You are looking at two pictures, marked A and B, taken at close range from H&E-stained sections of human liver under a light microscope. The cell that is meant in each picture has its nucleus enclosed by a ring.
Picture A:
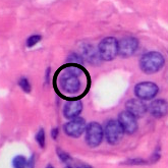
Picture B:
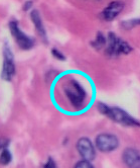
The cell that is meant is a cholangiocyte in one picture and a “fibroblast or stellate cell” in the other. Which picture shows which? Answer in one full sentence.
In picture A the cell is a cholangiocyte; in picture B, a “fibroblast or stellate cell”.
